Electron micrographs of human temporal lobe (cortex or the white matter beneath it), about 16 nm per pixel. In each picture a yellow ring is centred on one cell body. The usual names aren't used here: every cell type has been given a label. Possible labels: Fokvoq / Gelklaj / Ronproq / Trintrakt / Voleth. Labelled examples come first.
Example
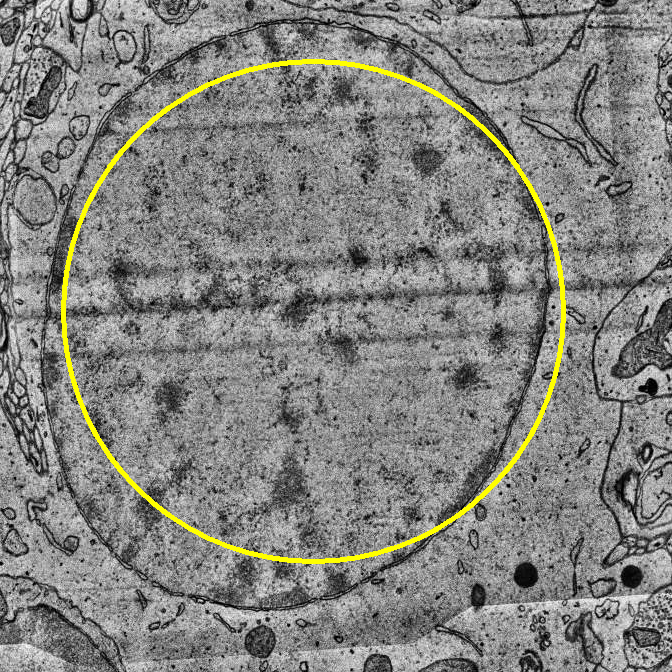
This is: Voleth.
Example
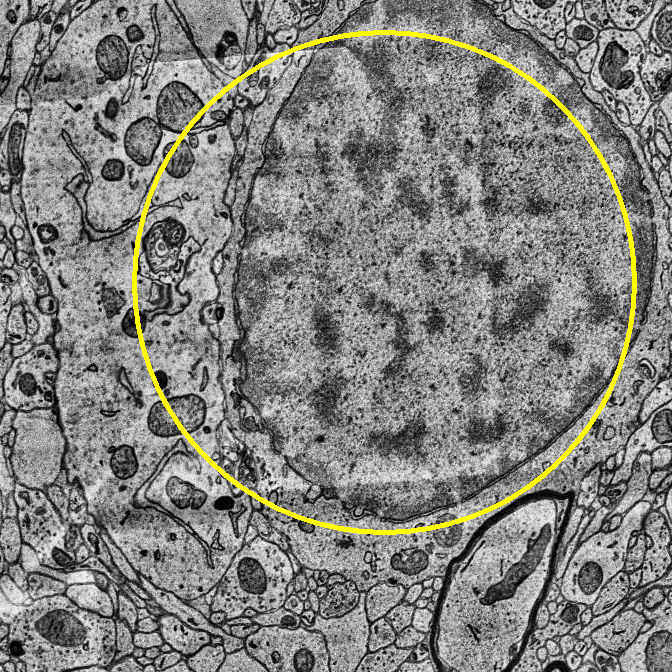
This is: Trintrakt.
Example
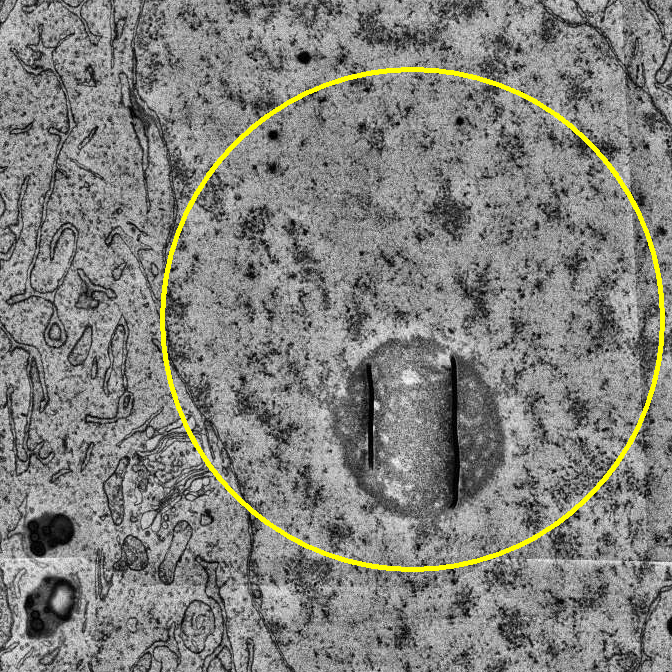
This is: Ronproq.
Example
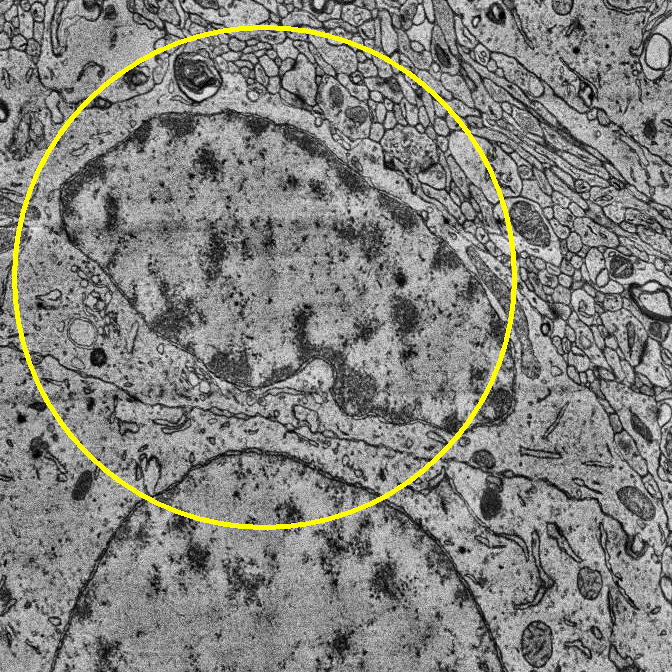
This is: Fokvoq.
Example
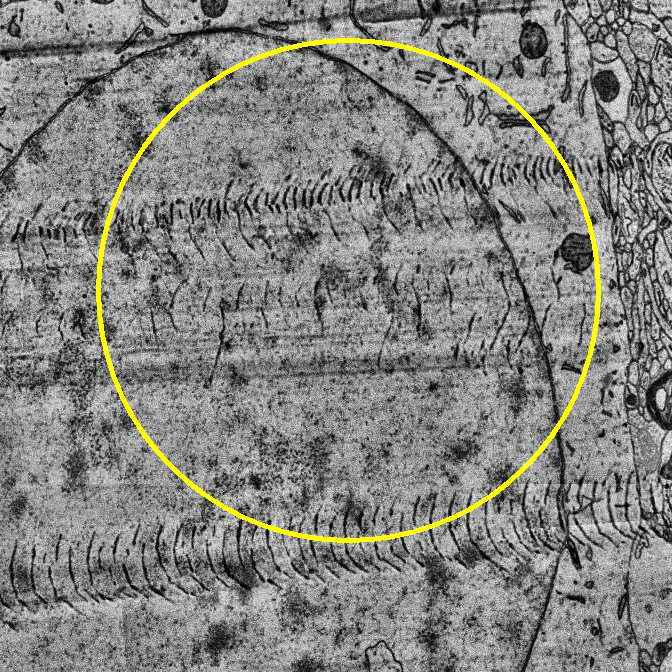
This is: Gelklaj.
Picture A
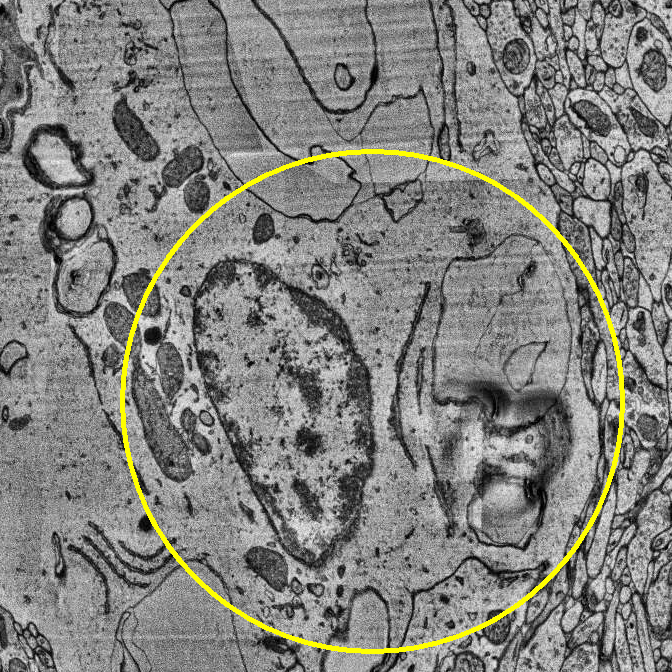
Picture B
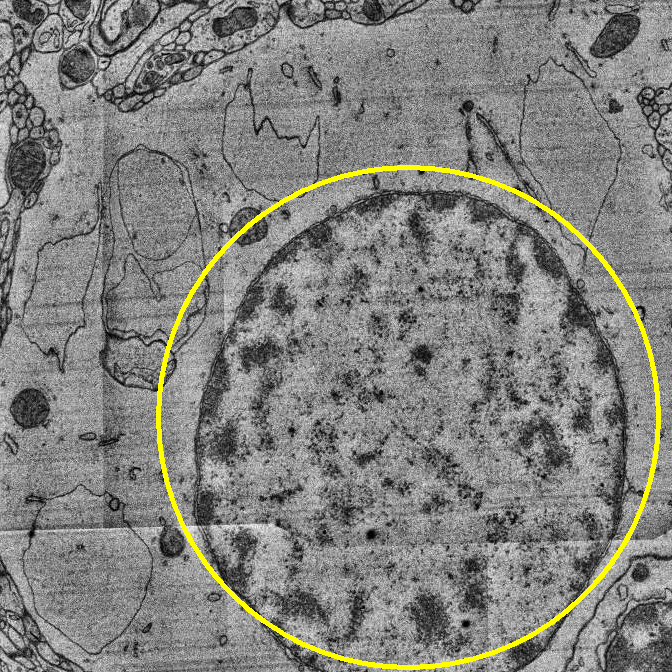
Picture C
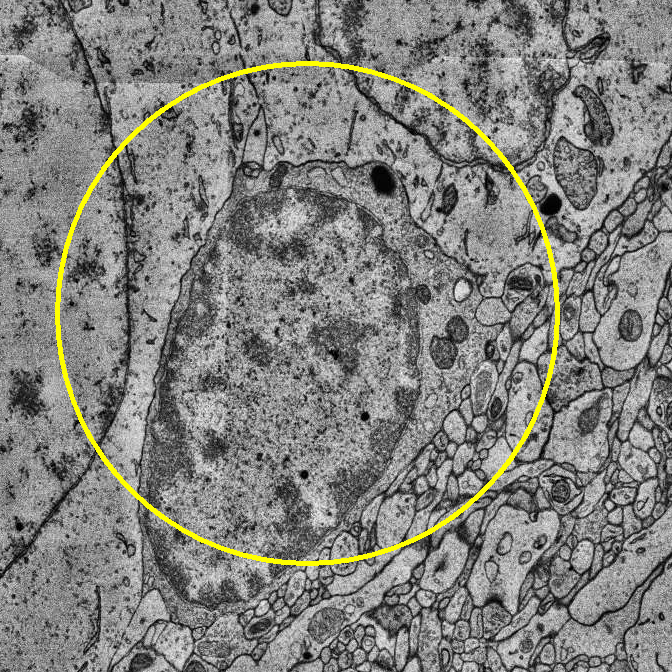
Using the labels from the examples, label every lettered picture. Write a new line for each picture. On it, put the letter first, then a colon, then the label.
A: Voleth.
B: Voleth.
C: Trintrakt.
